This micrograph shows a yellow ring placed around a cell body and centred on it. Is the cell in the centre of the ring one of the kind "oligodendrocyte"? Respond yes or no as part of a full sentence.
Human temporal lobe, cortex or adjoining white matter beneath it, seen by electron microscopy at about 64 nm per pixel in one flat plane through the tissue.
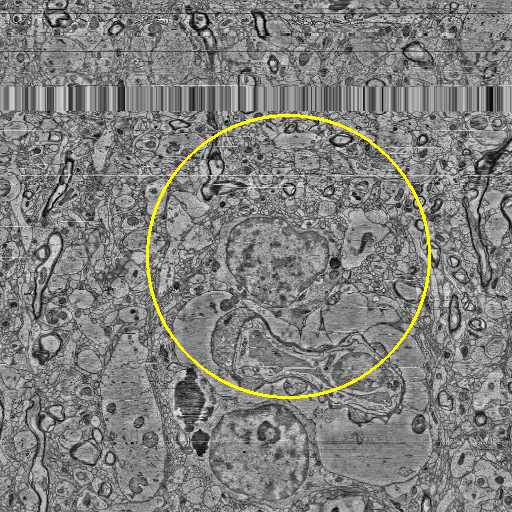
Yes, the cell in the centre of the ring within the picture is one of that kind.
